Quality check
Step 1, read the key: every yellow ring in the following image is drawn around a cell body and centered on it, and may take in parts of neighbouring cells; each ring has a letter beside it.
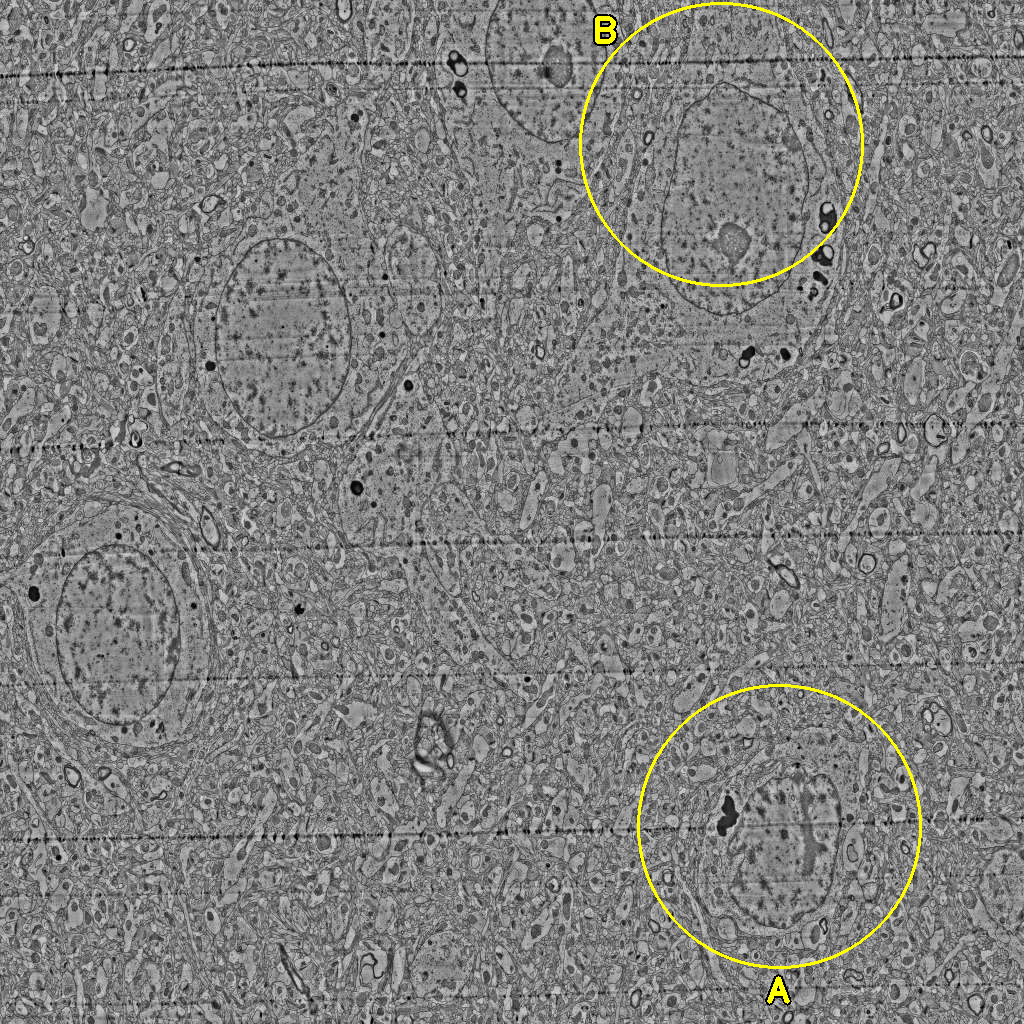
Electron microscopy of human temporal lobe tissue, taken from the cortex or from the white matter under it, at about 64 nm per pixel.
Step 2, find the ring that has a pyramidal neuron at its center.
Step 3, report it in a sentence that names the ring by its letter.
Ring B is centered on that cell.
